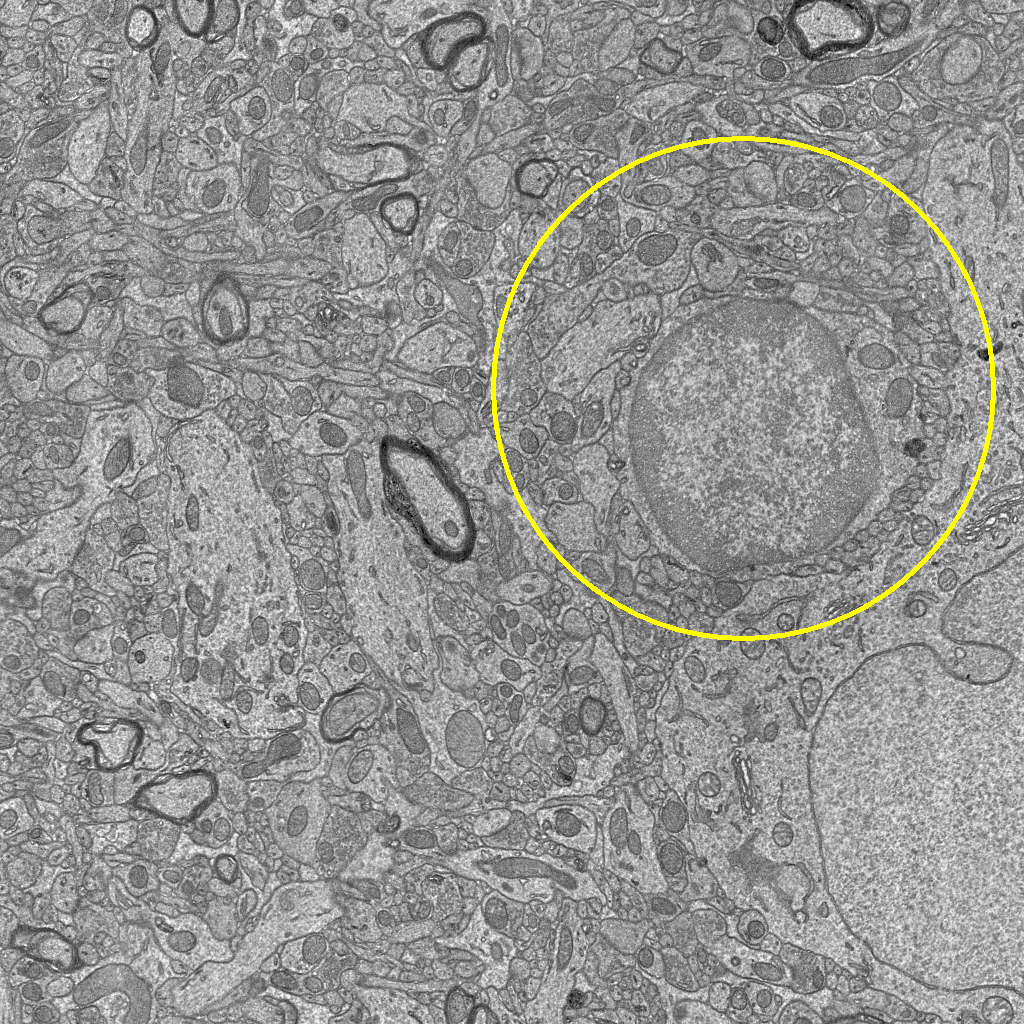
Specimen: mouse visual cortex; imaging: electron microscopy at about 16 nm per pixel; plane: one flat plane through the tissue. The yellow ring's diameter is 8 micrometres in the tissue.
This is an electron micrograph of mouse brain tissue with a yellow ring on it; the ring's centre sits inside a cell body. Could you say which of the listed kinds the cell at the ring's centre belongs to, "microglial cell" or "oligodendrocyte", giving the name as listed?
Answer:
oligodendrocyte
